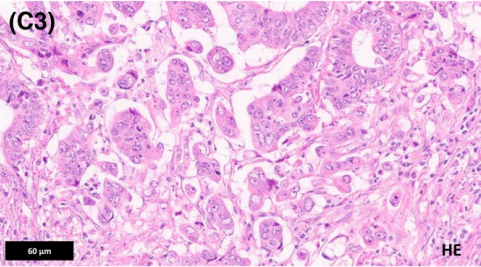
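Irregular nests and small glands of atypical epithelial cells with large nuclei and prominent nucleoli are scattered through pink fibrous stroma. Many nests are surrounded by narrow, slit-like clear spaces that follow their outline. No round fat vacuoles are seen next to the tumour cells. The clear halos are retraction artefacts around cancer cells embedded in desmoplastic stroma, not contact with fat.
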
